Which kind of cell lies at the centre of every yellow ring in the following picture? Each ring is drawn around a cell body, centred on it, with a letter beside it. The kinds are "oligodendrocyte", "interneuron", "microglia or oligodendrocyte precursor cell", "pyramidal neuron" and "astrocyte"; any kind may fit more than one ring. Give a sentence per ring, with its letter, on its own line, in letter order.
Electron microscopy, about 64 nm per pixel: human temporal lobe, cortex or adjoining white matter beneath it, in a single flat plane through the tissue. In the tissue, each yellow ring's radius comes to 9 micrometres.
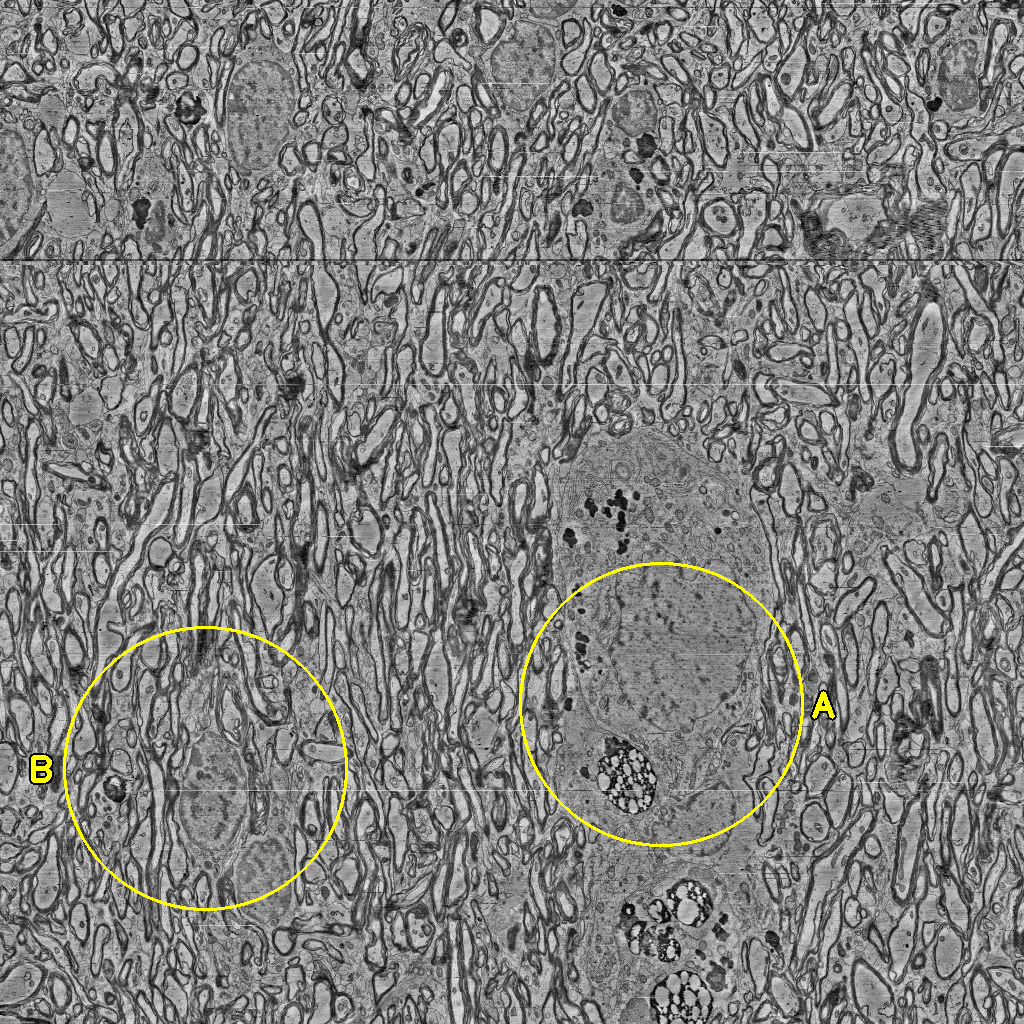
The cell body centred in ring A is that of an interneuron.
The cell body centred in ring B is that of an oligodendrocyte.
